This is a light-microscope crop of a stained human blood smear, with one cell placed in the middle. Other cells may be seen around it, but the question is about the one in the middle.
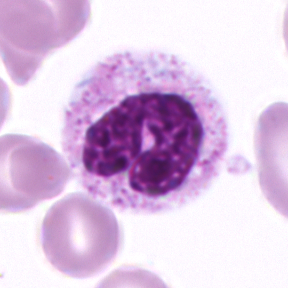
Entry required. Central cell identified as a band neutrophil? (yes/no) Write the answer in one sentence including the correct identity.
Yes, the cell at the crop's center is a band neutrophil.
